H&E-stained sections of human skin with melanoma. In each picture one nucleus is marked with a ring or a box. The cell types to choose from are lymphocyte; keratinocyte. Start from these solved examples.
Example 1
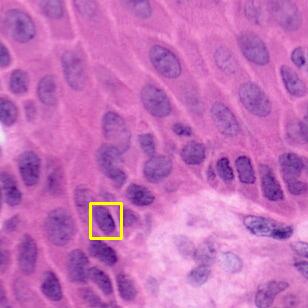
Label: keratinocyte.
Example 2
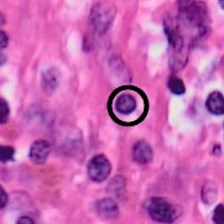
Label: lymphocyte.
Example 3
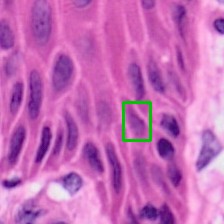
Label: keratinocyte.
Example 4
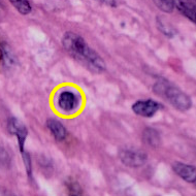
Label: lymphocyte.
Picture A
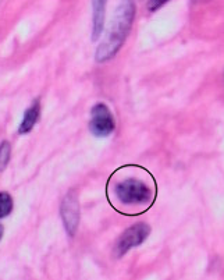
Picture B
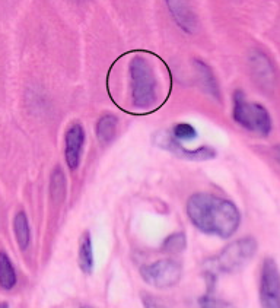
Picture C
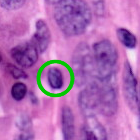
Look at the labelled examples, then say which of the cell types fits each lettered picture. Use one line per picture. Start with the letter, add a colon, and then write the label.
A: lymphocyte.
B: keratinocyte.
C: lymphocyte.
